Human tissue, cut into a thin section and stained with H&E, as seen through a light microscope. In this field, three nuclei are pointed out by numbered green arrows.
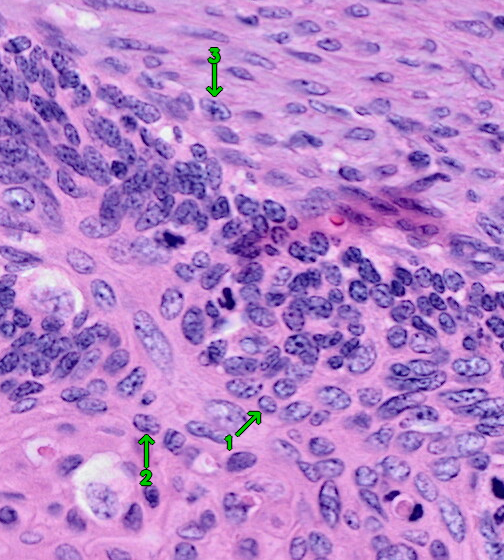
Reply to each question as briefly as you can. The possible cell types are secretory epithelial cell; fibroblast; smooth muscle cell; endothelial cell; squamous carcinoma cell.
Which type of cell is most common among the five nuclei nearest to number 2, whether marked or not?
squamous carcinoma cell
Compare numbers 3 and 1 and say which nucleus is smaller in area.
1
